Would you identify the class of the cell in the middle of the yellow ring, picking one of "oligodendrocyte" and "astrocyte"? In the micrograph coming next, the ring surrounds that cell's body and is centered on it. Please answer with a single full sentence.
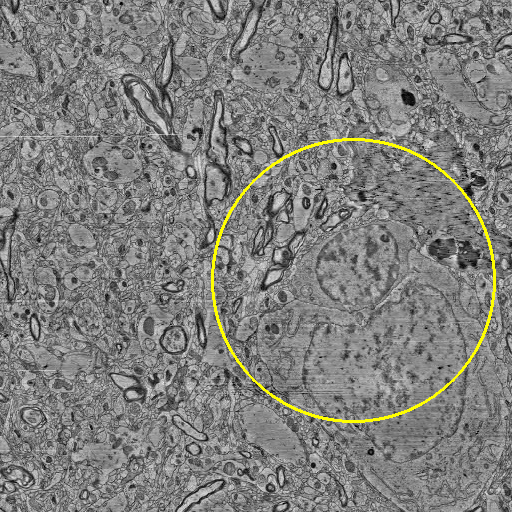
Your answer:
In the micrograph, it is an oligodendrocyte whose body lies at the ring's center.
